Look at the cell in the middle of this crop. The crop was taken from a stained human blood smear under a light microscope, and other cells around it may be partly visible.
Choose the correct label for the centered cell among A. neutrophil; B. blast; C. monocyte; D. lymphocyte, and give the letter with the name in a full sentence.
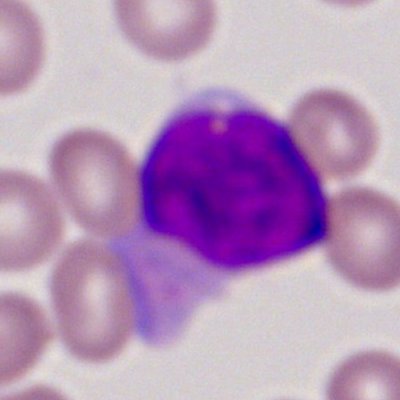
Occupying the middle of the crop is a blast, hence option B is correct.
